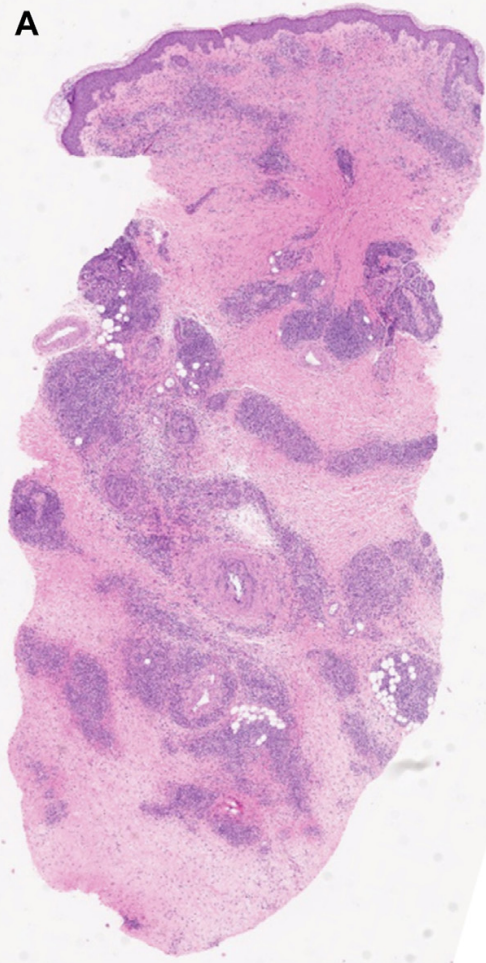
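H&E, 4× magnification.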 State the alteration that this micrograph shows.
Dense interstitial and perivascular inflammation.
